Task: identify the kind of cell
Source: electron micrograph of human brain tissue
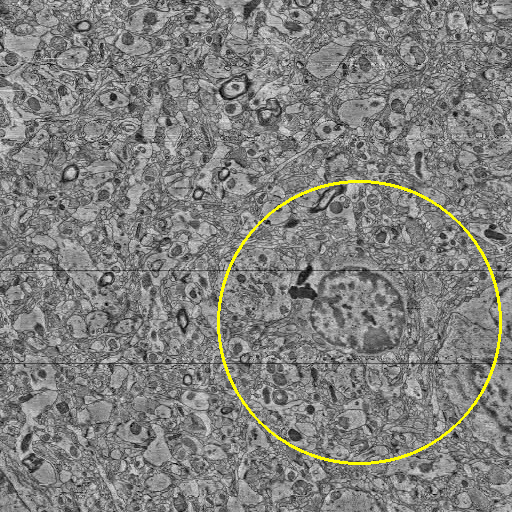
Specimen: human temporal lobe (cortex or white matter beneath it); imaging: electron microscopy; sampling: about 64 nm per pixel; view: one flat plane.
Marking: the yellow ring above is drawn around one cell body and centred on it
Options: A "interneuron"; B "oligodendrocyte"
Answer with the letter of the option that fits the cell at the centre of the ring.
B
